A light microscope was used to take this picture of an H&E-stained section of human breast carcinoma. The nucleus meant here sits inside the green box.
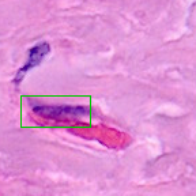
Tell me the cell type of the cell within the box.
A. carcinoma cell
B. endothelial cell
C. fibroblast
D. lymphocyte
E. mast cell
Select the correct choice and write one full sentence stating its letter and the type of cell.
Here the correct option is B, since the cell within the box is an endothelial cell.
